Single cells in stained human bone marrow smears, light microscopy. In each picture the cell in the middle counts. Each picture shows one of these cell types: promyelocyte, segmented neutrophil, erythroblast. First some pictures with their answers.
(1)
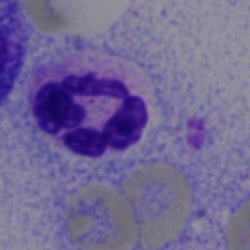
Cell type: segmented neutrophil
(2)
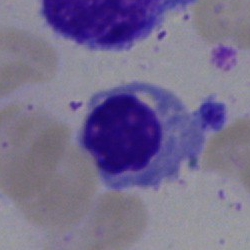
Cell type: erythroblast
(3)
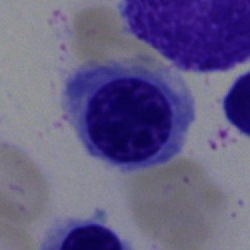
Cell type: erythroblast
